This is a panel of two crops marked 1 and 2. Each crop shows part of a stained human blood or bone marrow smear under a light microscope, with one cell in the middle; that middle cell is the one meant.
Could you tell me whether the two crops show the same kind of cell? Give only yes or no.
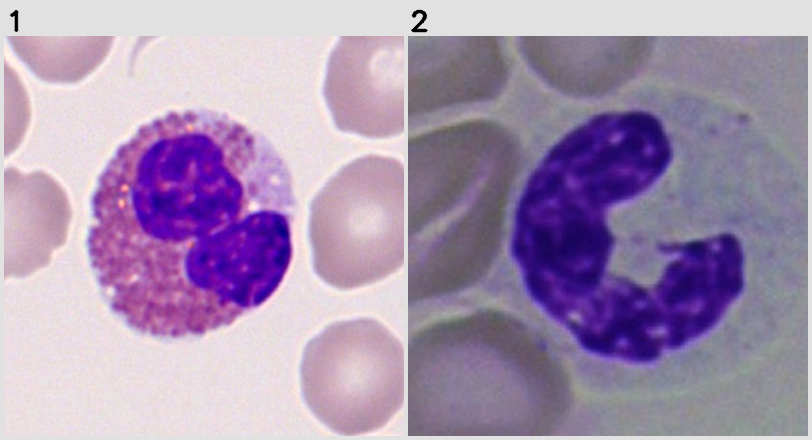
no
